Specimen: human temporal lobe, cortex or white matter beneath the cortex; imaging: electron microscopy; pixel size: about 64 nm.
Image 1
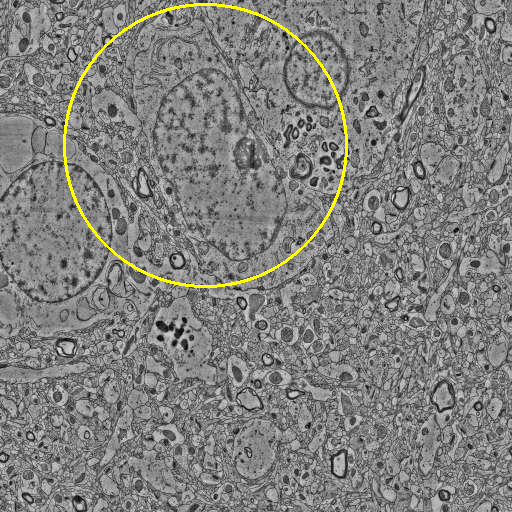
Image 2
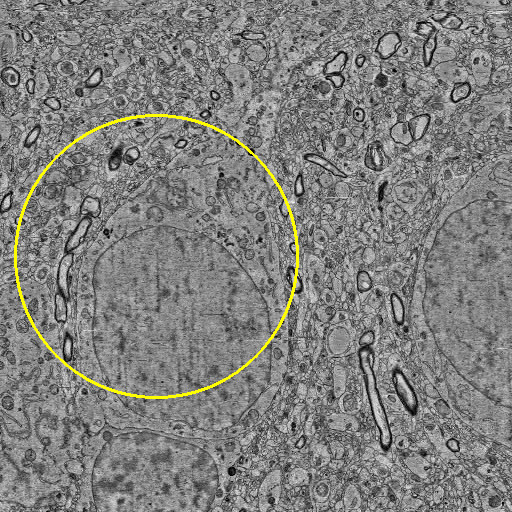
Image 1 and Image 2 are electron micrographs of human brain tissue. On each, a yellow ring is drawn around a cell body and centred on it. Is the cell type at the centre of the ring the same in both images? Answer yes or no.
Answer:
yes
